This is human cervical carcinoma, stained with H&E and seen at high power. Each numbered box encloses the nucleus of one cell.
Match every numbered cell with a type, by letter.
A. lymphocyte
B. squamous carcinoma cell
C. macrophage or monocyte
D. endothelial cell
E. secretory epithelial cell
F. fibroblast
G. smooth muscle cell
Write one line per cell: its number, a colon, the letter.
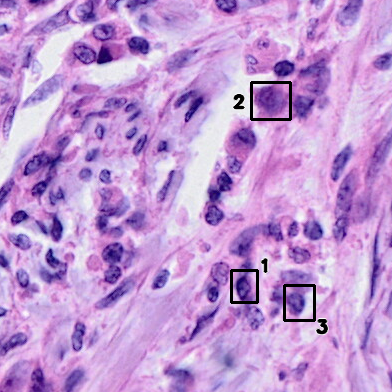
1: A
2: C
3: A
